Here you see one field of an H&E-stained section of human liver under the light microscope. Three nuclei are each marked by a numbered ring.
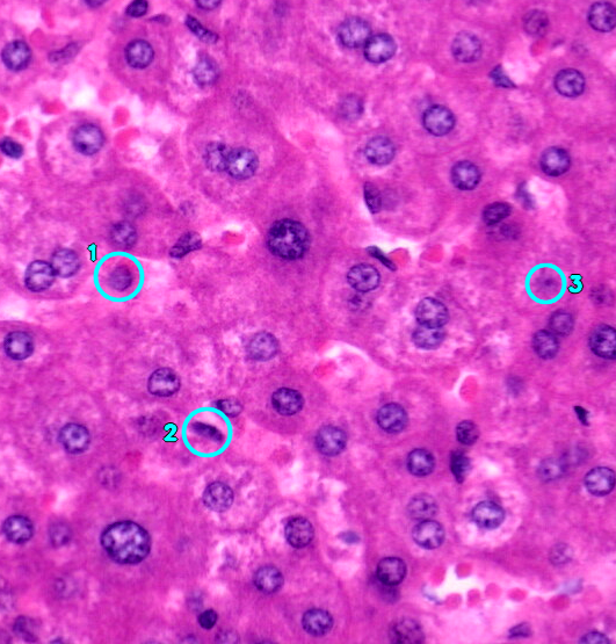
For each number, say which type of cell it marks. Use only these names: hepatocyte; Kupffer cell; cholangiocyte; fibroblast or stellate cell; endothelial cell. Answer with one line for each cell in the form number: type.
1: Kupffer cell
2: endothelial cell
3: hepatocyte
